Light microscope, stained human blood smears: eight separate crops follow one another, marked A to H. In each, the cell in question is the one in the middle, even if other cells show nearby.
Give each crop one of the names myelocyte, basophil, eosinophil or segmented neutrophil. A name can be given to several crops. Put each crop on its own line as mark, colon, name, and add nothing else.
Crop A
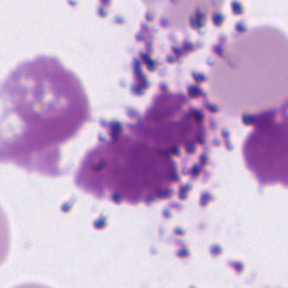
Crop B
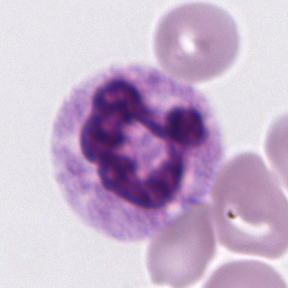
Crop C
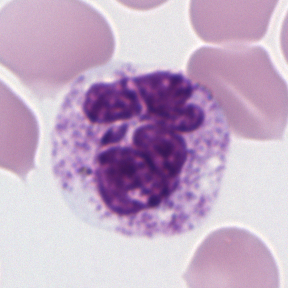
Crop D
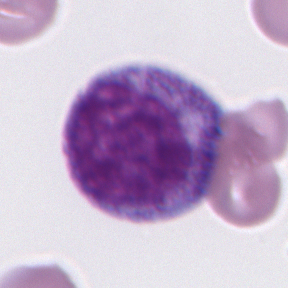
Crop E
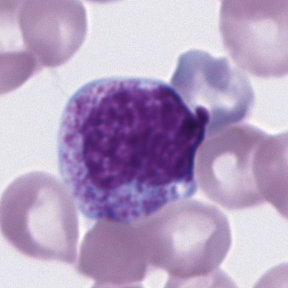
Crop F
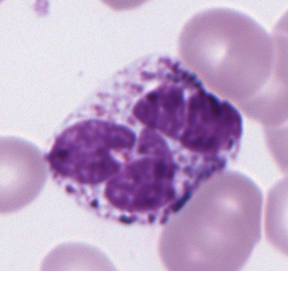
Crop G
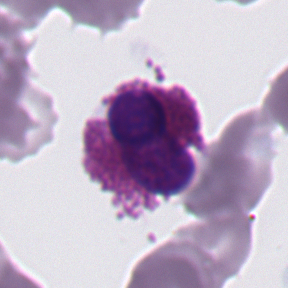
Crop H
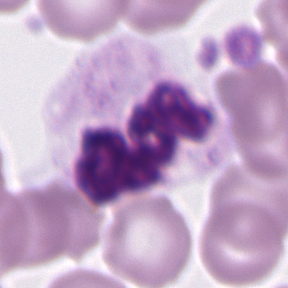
A: basophil
B: segmented neutrophil
C: segmented neutrophil
D: myelocyte
E: myelocyte
F: basophil
G: eosinophil
H: segmented neutrophil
